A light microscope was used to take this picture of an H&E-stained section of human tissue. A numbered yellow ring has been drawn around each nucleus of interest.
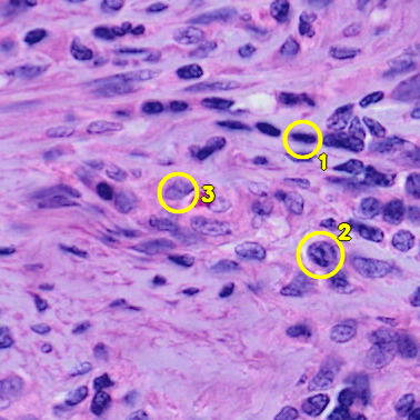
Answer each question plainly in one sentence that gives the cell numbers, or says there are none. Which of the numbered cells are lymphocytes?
The cells numbered 1 and 2 fall into the category of lymphocytes.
